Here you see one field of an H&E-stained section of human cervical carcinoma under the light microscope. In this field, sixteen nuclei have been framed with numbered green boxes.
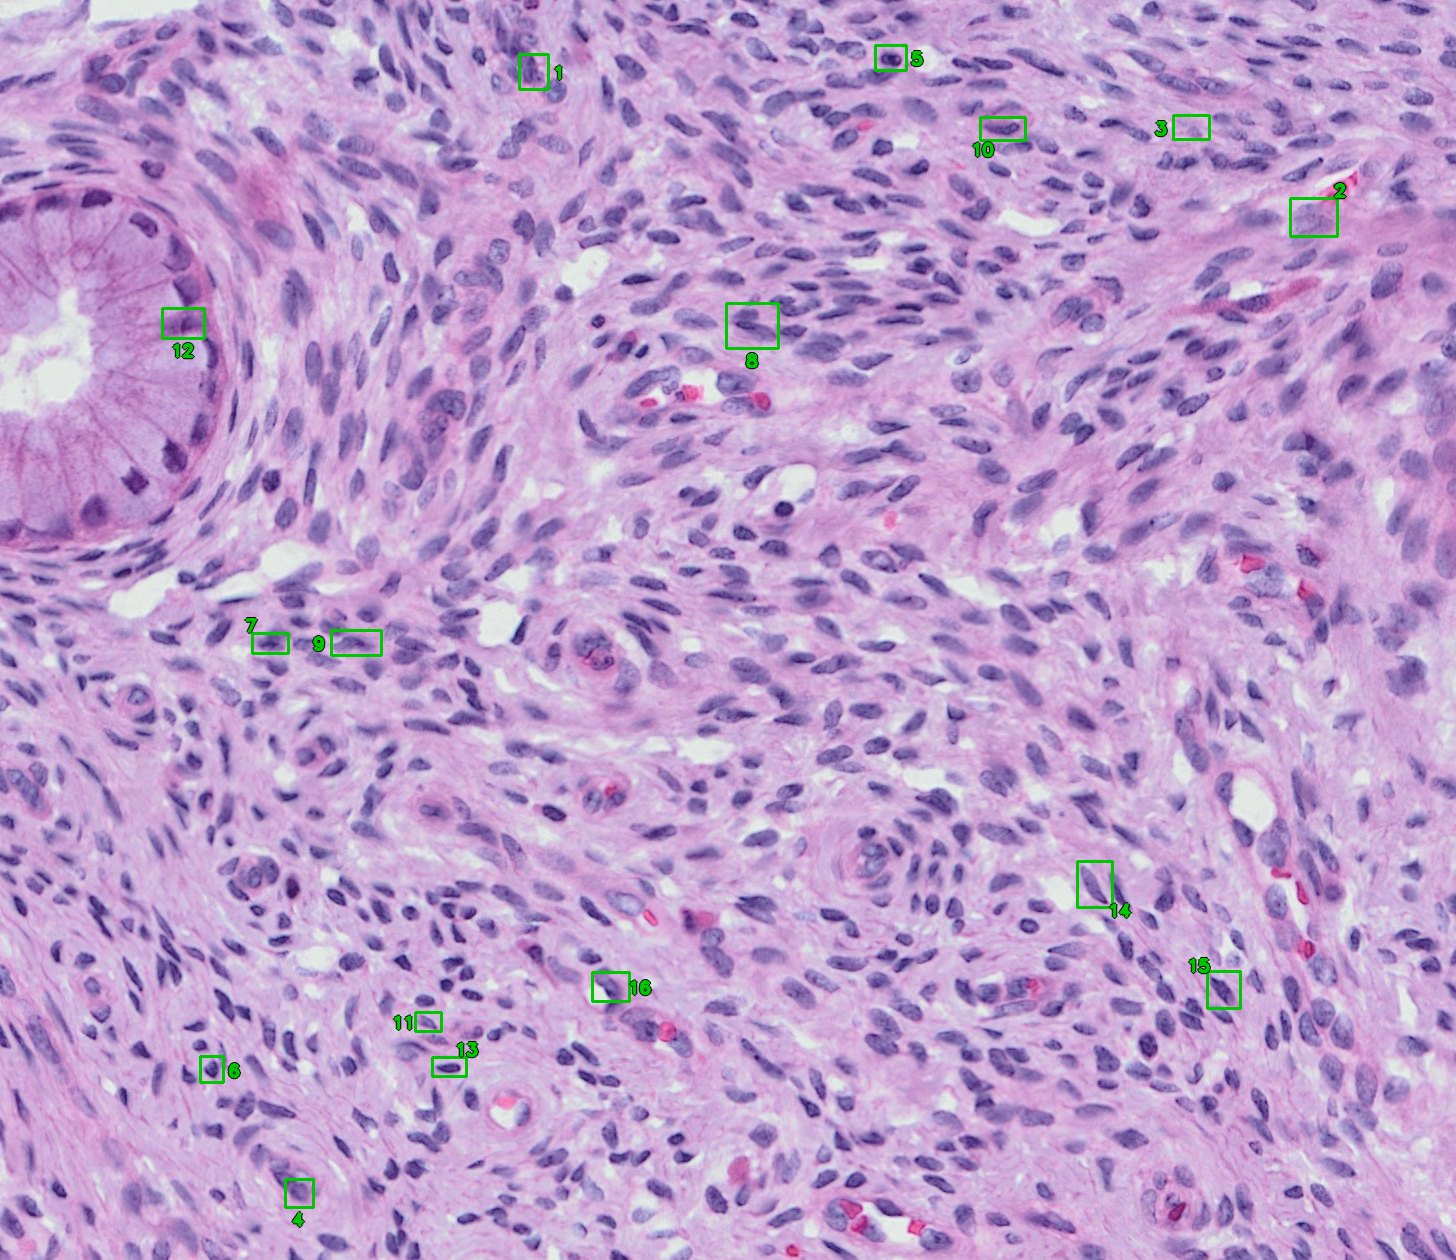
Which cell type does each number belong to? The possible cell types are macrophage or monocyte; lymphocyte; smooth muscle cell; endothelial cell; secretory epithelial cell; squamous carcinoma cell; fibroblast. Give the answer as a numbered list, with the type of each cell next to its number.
1. endothelial cell
2. endothelial cell
3. fibroblast
4. endothelial cell
5. lymphocyte
6. fibroblast
7. fibroblast
8. fibroblast
9. fibroblast
10. endothelial cell
11. fibroblast
12. secretory epithelial cell
13. fibroblast
14. fibroblast
15. fibroblast
16. endothelial cell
